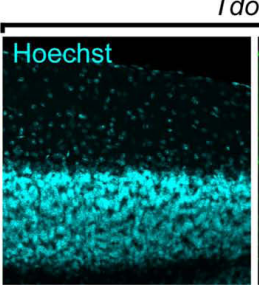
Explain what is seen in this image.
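This is the cortex of the cerebellum with its nuclei stained cyan, and its layers stand out clearly. At the top, just under the outer surface, lies a broad, pale layer in which only a few small nuclei are scattered. This is the molecular layer. Below it, with a sharp border, begins a dense band of small, tightly crowded nuclei. This band is the granule cell layer.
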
